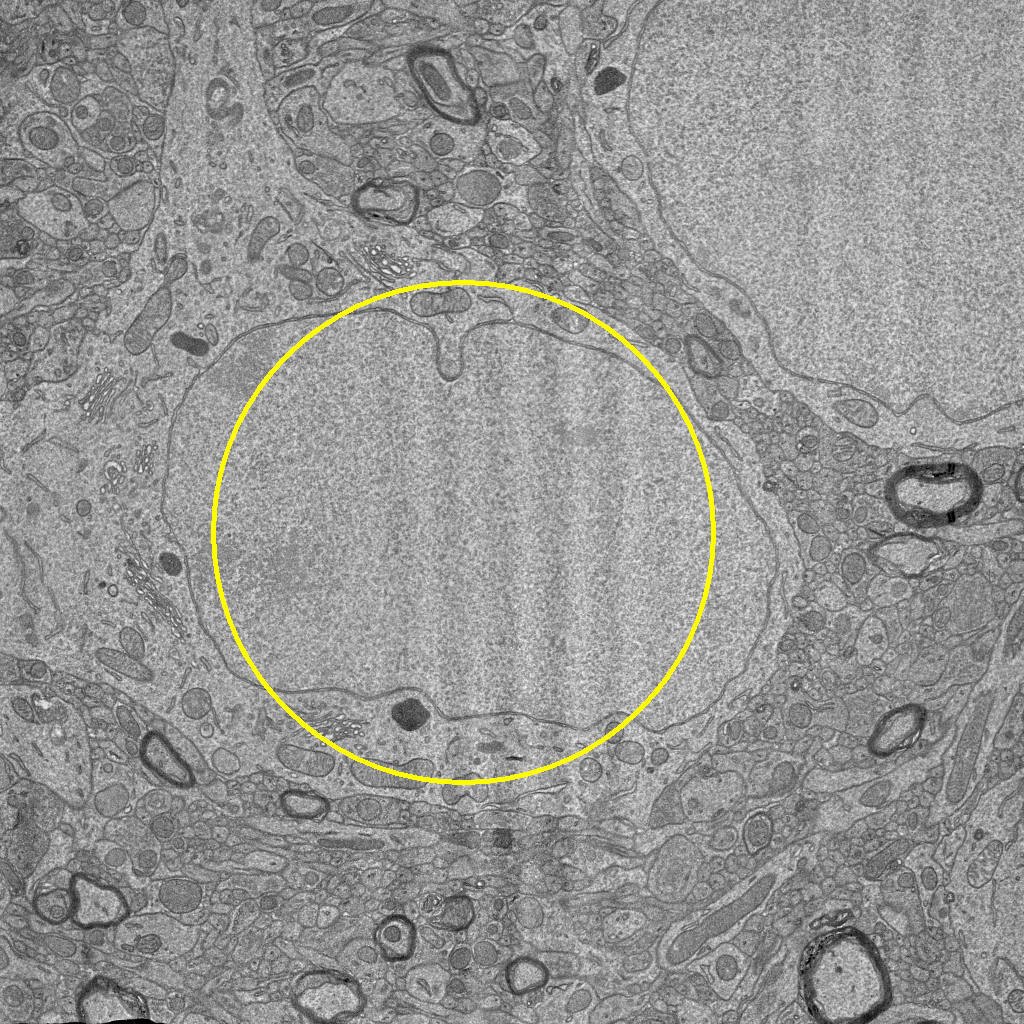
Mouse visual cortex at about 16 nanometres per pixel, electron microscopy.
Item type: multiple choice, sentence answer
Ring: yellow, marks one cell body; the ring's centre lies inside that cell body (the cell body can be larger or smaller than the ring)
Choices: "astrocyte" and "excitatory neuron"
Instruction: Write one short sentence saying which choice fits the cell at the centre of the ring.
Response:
The centre of this ring lies on an excitatory neuron.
